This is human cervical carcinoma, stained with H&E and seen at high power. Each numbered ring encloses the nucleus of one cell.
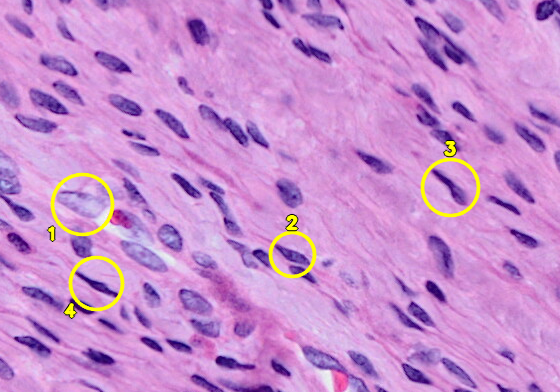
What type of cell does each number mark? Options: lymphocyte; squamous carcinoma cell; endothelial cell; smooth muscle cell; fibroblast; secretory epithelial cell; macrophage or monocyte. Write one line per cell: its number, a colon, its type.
1: endothelial cell
2: fibroblast
3: fibroblast
4: fibroblast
